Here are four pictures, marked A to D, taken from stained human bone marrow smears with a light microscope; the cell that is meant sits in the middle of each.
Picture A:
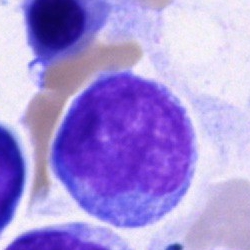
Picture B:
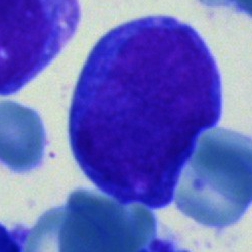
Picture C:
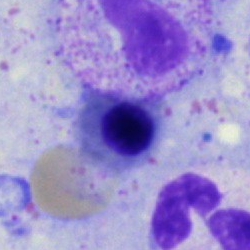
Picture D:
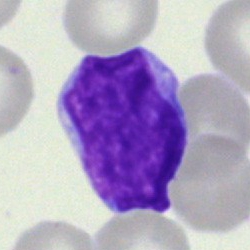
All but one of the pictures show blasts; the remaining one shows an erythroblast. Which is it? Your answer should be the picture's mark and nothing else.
C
